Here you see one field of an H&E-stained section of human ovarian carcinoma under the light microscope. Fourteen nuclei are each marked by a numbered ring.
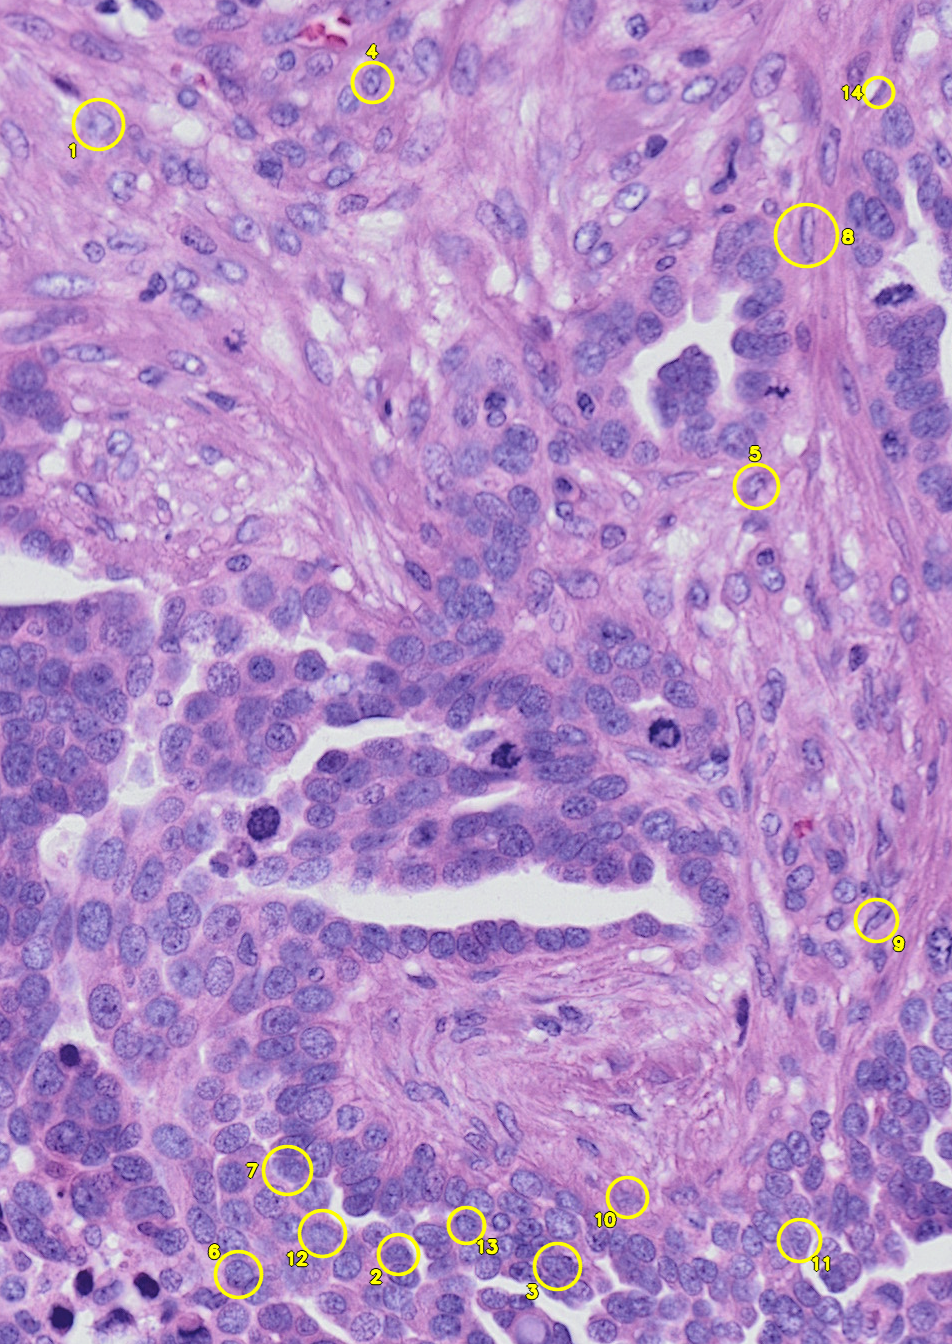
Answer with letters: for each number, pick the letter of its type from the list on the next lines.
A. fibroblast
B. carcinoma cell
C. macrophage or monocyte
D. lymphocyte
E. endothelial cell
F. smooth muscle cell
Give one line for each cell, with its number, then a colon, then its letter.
1: A
2: B
3: B
4: A
5: A
6: B
7: B
8: A
9: A
10: A
11: B
12: B
13: B
14: A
